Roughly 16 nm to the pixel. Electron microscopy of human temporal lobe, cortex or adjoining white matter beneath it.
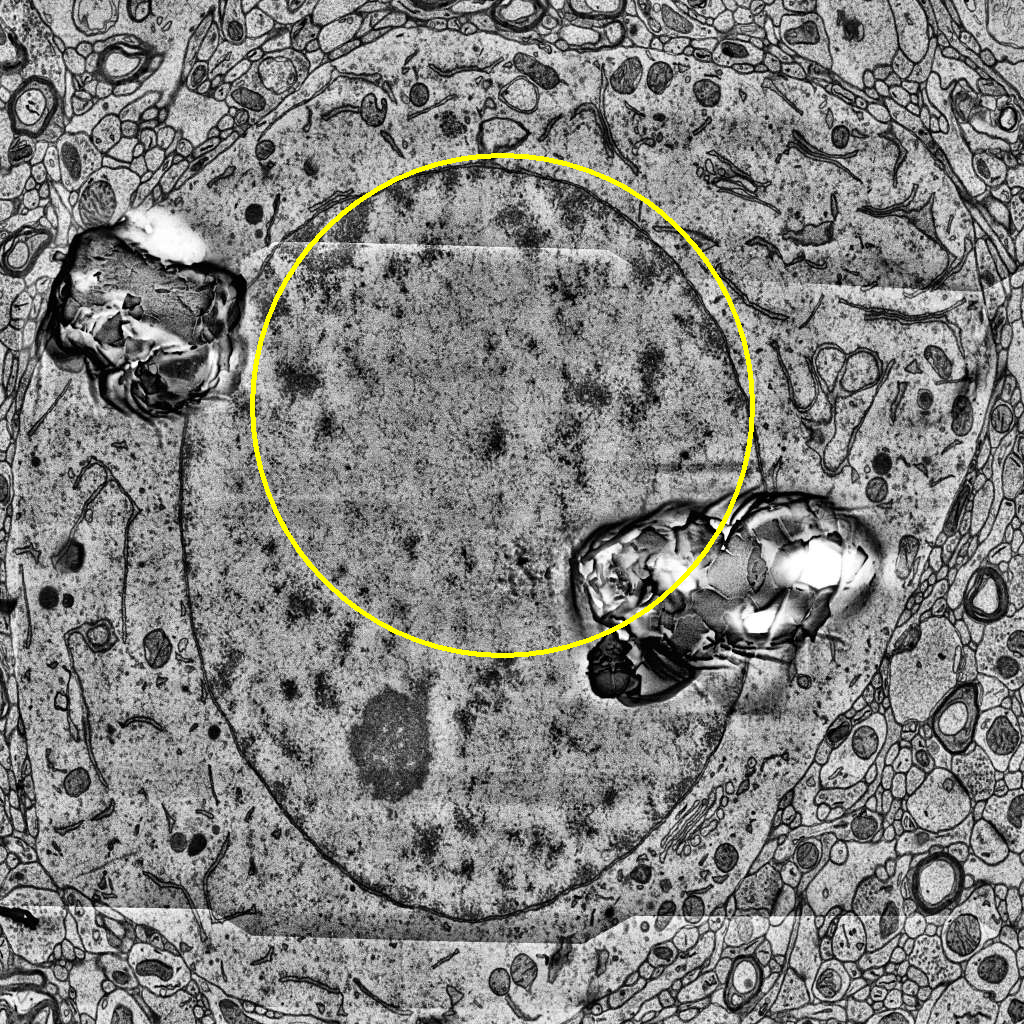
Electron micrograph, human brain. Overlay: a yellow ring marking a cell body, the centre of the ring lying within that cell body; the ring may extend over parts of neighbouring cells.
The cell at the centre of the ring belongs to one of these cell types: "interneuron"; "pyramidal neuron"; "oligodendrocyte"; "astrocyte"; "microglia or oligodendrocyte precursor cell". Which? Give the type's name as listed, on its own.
pyramidal neuron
